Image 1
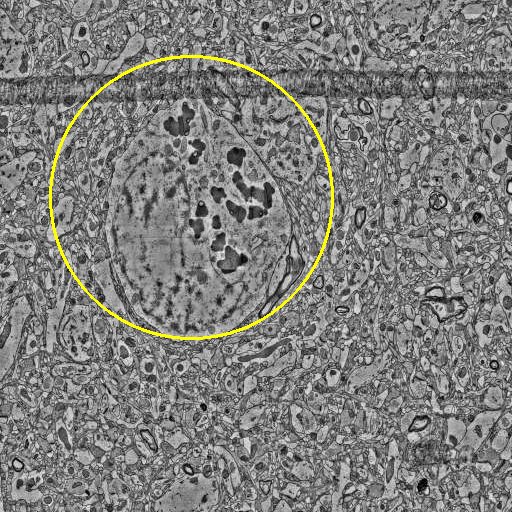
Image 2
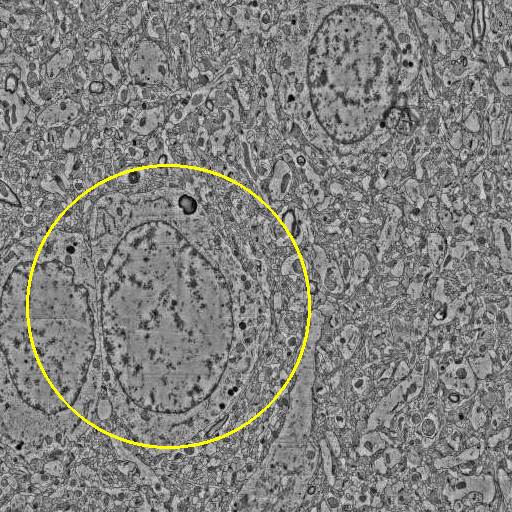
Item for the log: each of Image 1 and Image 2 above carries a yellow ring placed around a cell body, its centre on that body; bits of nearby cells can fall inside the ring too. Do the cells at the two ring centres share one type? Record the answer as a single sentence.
No, the two cells at the ring centres in Image 1 and Image 2 are of two types.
